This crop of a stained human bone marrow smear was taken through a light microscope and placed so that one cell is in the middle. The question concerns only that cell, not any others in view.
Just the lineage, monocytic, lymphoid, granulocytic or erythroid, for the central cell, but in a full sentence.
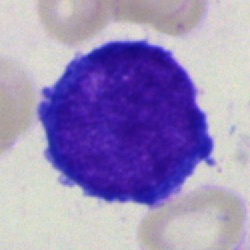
The cell in the center of the crop is counted in the erythroid lineage.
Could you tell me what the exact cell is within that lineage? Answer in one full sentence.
As for the central cell, it is a proerythroblast.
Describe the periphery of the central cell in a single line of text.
This cell has an uneven outline, either ragged or bearing projections.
